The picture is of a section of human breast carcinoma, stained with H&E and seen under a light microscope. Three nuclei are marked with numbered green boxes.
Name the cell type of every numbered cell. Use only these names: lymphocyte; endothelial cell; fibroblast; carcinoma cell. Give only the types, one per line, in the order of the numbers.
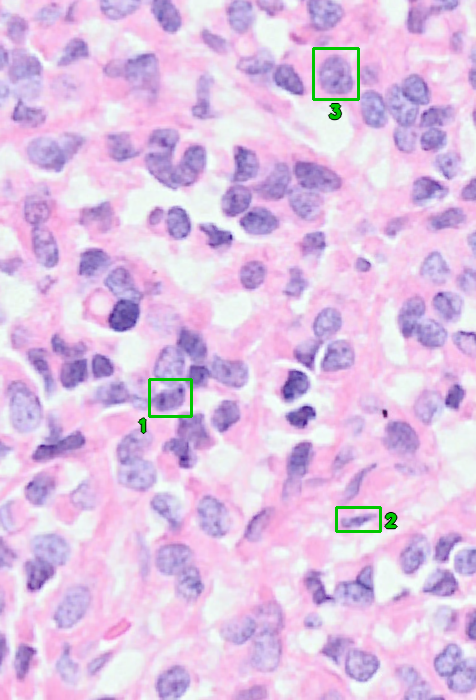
carcinoma cell
fibroblast
carcinoma cell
